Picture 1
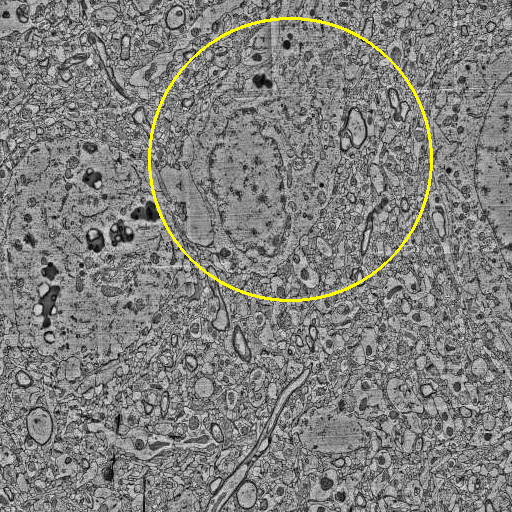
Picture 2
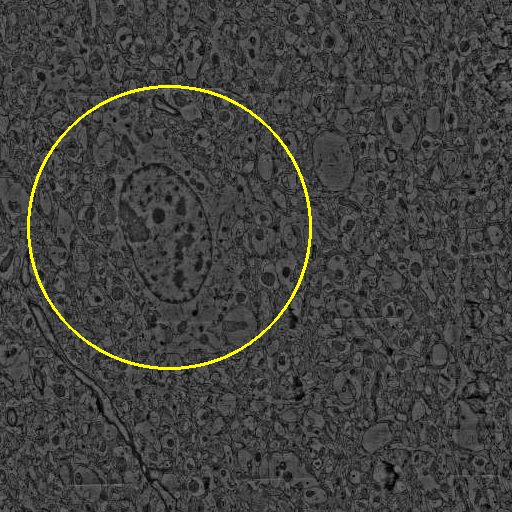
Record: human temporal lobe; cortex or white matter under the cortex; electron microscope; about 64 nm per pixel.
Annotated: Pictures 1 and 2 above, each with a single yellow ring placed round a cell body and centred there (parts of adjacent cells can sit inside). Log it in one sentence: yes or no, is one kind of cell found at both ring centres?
No, the ring centres of the two pictures hold cells of two kinds.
